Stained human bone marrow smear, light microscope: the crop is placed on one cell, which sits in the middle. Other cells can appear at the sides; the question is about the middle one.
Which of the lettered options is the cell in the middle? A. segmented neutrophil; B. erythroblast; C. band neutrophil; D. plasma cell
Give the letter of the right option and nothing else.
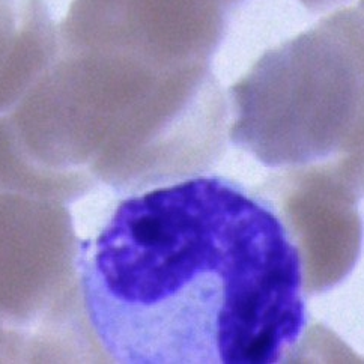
C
